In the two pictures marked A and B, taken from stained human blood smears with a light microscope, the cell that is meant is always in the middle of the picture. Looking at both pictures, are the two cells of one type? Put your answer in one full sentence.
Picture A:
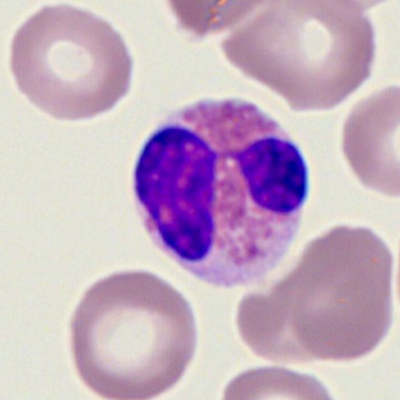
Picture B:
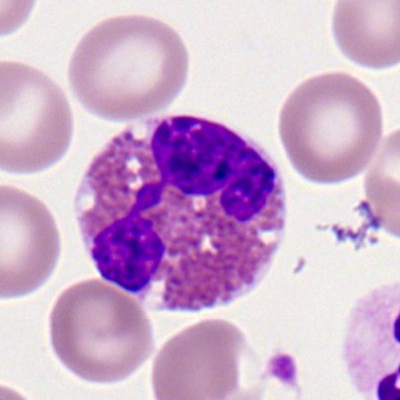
Yes, both cells are eosinophils.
